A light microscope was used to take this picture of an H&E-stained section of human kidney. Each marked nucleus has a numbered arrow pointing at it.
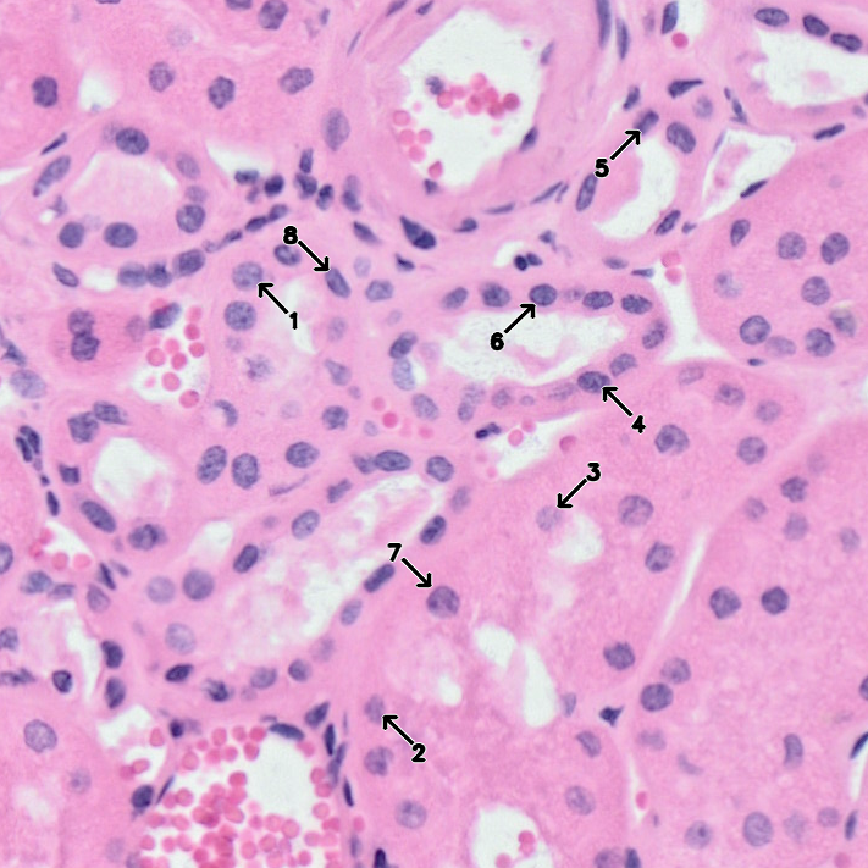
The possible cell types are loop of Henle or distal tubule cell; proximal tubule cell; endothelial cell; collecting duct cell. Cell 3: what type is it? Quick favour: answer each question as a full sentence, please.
Numbered cell 3 is a proximal tubule cell in this tissue section.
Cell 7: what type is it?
The cell identified by number 7 is a proximal tubule cell.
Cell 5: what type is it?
The numbered cell 5 in this field is a collecting duct cell.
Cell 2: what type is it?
The cell referenced by the number 2 is a proximal tubule cell in this field.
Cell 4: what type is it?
Cell 4 is classified as a collecting duct cell.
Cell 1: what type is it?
Identified as a collecting duct cell is the cell bearing the number 1.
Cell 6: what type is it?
The numeral 6 marks a collecting duct cell in this section.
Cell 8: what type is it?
Belonging to a collecting duct cell is the nucleus that carries the number 8.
